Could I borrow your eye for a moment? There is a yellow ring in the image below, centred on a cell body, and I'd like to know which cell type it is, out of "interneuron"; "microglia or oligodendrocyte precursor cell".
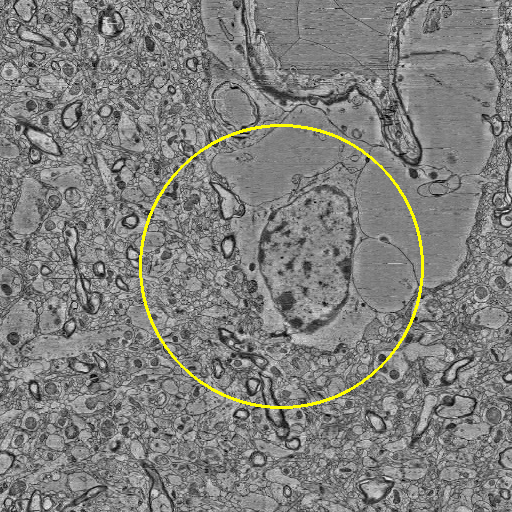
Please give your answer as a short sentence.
The cell body at the centre is that of a microglial cell or oligodendrocyte precursor cell.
